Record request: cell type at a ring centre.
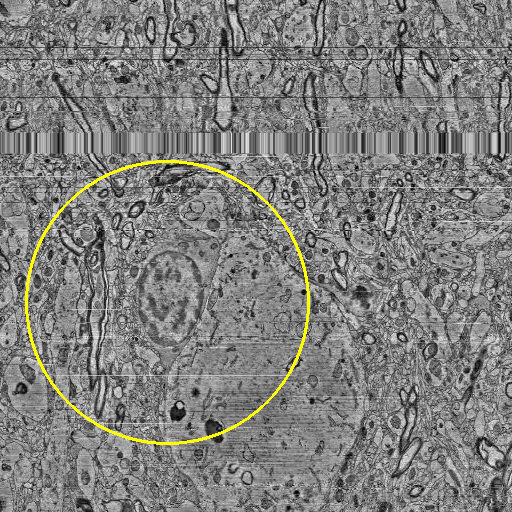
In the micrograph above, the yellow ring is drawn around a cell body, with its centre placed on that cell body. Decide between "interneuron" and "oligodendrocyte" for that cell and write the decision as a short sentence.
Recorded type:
The cell centred in the yellow ring is an oligodendrocyte.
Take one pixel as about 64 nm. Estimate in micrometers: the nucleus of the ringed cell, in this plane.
In this plane the nucleus measures roughly 6 by 4 micrometres.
